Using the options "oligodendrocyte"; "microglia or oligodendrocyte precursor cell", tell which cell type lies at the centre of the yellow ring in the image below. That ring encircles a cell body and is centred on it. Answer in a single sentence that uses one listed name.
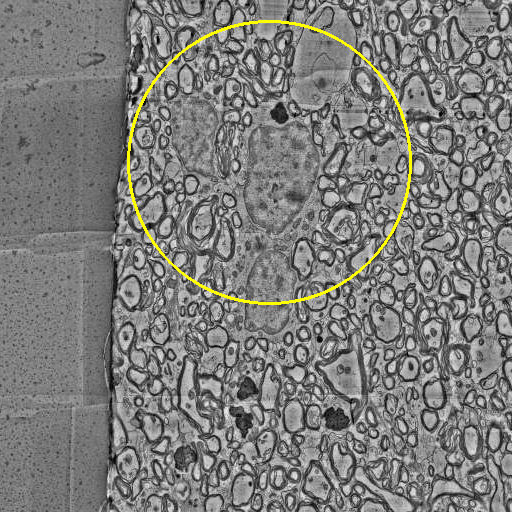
At the centre of the yellow ring lies the body of an oligodendrocyte.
